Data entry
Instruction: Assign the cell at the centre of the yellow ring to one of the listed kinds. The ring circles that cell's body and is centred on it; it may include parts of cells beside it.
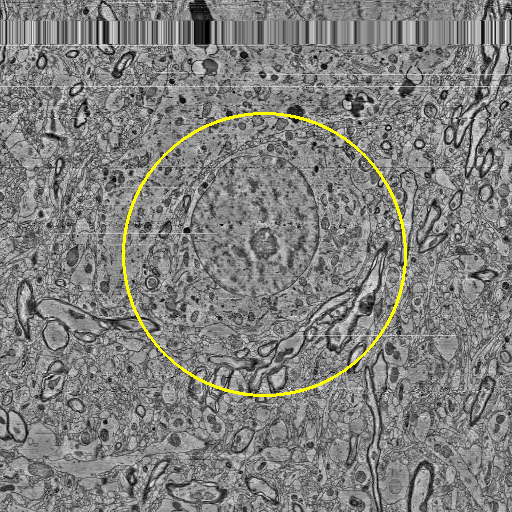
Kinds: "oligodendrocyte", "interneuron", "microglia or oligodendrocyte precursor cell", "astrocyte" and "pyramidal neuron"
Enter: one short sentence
The centre of the ring falls on an interneuron.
